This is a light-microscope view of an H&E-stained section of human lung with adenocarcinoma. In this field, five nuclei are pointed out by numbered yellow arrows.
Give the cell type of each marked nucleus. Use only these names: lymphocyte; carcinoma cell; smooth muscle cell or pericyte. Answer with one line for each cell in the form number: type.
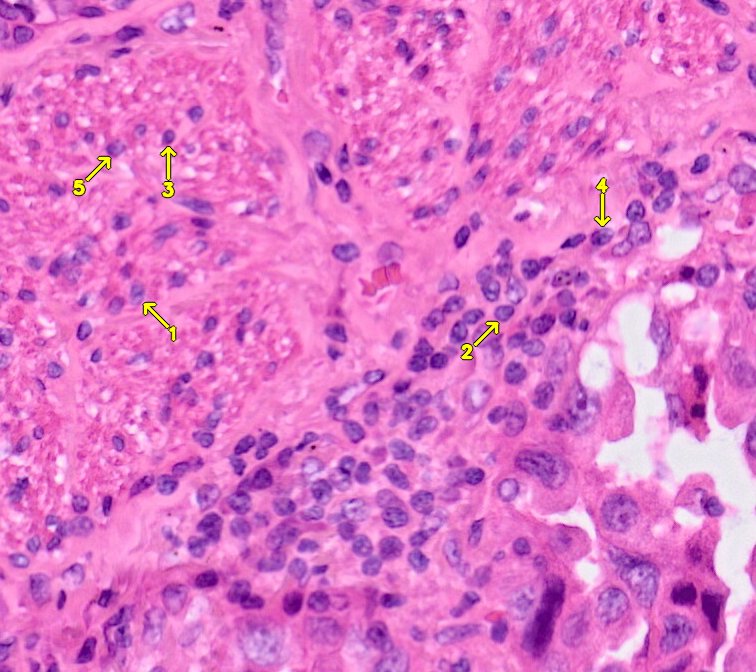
1: smooth muscle cell or pericyte
2: lymphocyte
3: smooth muscle cell or pericyte
4: lymphocyte
5: smooth muscle cell or pericyte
